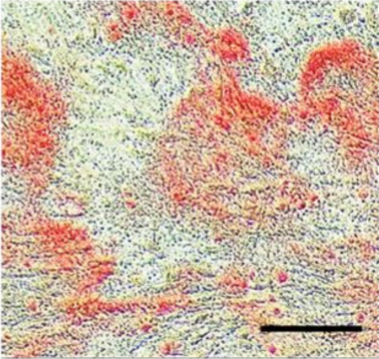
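Broad, irregular patches of red stain lie over parts of the layer, especially along the left and upper edges and in the middle. The red deposits are confluent and amorphous rather than sharply outlined droplets. Between the red patches the layer is pale and unstained.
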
